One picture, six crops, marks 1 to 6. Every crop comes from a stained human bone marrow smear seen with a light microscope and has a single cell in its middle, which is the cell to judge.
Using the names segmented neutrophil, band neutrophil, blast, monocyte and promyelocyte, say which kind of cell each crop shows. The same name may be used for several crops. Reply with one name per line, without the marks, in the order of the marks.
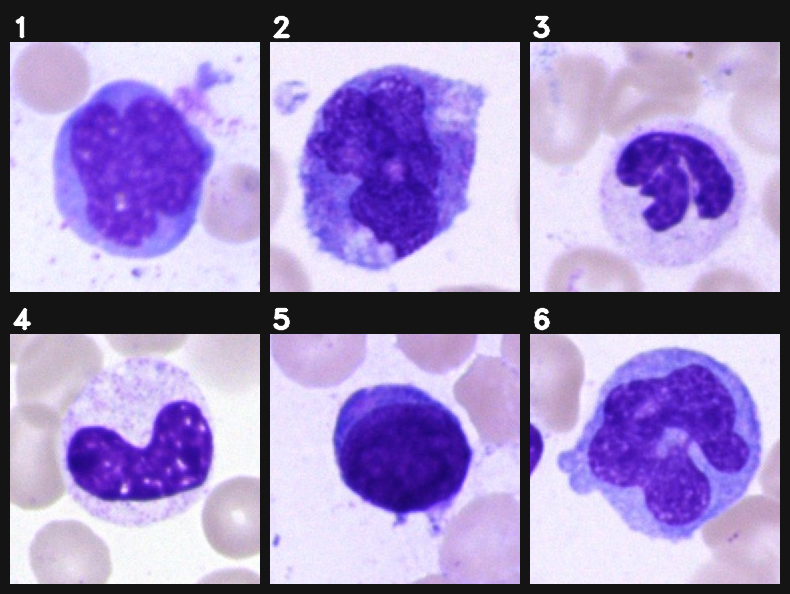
monocyte
monocyte
segmented neutrophil
band neutrophil
blast
monocyte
